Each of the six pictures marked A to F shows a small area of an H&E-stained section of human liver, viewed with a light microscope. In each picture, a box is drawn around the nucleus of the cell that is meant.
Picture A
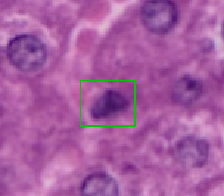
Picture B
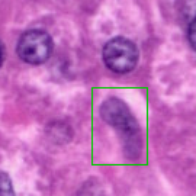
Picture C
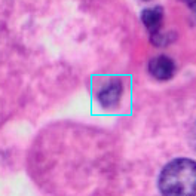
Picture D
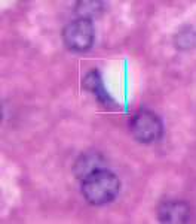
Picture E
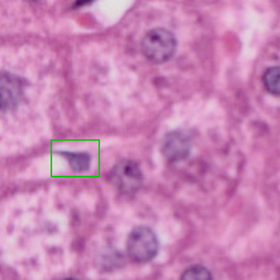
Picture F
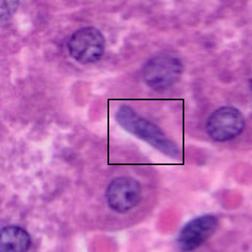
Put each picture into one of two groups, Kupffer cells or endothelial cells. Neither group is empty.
A: endothelial cell
B: Kupffer cell
C: Kupffer cell
D: endothelial cell
E: endothelial cell
F: Kupffer cell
